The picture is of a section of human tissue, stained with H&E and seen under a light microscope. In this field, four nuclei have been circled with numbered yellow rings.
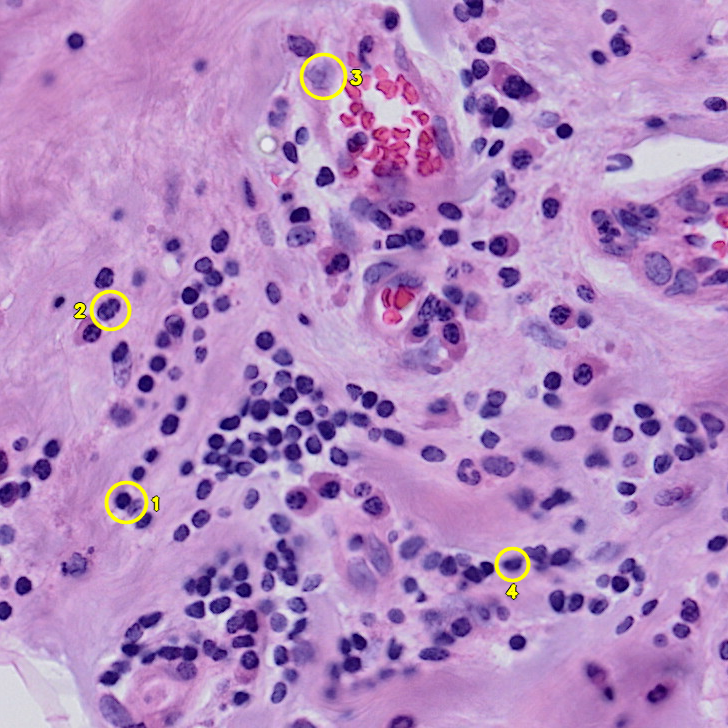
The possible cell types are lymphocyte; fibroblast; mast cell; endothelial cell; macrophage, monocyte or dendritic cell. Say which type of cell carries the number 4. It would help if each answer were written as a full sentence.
The nucleus labelled 4 belongs to a lymphocyte.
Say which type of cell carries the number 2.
As for number 2, that cell is a lymphocyte.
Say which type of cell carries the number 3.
Number 3 is placed on an endothelial cell here.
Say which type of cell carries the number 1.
Cell 1, among those numbered, is a lymphocyte.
